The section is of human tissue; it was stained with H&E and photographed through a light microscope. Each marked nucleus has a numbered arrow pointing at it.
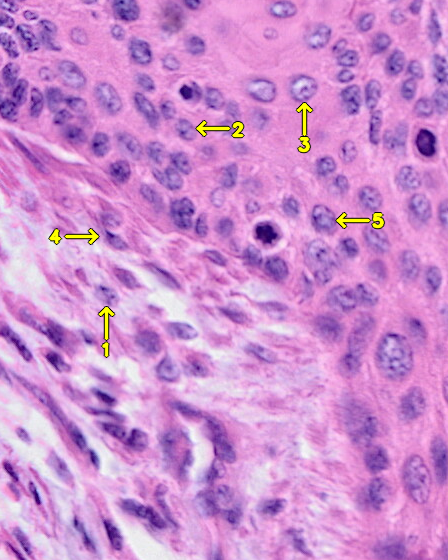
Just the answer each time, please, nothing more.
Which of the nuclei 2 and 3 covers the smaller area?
2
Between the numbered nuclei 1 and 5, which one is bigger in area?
5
